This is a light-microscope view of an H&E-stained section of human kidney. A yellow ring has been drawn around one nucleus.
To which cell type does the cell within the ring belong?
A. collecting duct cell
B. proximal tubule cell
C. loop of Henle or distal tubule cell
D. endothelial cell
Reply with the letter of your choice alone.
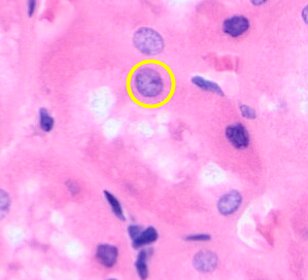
B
